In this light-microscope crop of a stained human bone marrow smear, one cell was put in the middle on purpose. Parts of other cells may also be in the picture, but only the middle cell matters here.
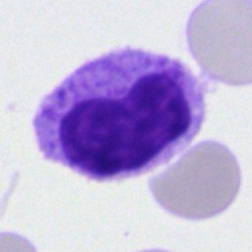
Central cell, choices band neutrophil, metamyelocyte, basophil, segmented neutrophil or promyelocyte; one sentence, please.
The crop shows a metamyelocyte in its centre.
